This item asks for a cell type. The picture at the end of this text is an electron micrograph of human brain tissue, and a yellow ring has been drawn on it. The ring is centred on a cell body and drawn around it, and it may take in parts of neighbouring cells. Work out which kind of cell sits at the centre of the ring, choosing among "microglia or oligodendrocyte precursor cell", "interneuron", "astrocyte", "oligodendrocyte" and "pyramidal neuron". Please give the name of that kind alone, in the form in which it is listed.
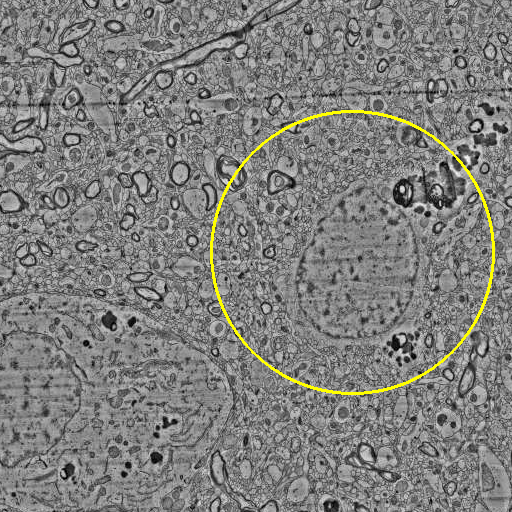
astrocyte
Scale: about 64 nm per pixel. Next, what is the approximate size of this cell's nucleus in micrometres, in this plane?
In this plane, the nucleus of the cell at the centre of the ring measures about 10 by 7 micrometres.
